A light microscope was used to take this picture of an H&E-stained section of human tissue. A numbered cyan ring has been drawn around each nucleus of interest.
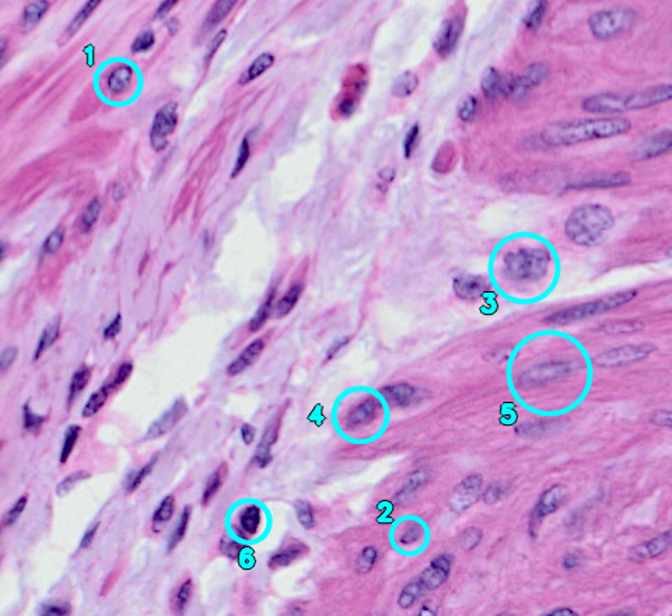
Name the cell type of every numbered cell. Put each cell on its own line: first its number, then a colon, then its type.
1: smooth muscle cell
2: smooth muscle cell
3: macrophage or monocyte
4: smooth muscle cell
5: smooth muscle cell
6: lymphocyte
